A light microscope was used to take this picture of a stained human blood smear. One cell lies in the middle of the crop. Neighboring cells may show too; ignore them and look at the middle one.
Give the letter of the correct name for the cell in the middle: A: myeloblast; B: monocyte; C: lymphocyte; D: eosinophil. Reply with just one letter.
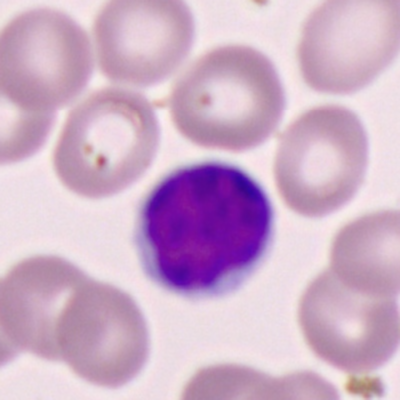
C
